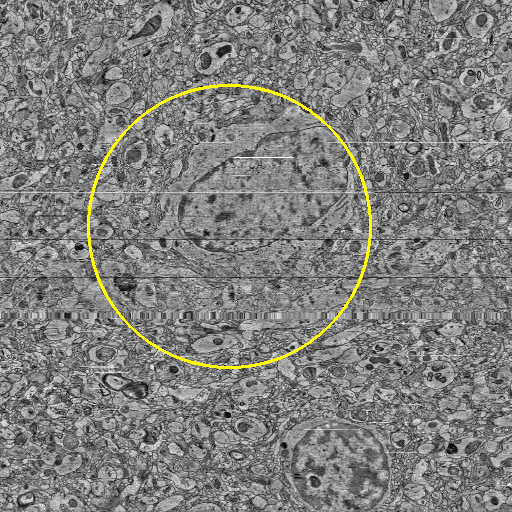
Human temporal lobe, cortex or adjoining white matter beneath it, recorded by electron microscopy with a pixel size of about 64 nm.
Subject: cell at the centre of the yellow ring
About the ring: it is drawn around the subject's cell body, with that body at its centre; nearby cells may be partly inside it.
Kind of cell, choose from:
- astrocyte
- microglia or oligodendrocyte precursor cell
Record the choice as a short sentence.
The subject cell is a microglial cell or oligodendrocyte precursor cell.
